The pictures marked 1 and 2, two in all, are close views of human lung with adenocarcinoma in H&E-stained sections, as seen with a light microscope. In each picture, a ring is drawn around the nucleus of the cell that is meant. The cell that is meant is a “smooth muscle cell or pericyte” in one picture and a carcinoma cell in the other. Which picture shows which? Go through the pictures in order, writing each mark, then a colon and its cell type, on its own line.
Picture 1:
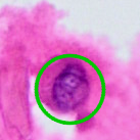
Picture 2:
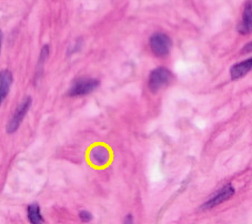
1: carcinoma cell
2: smooth muscle cell or pericyte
